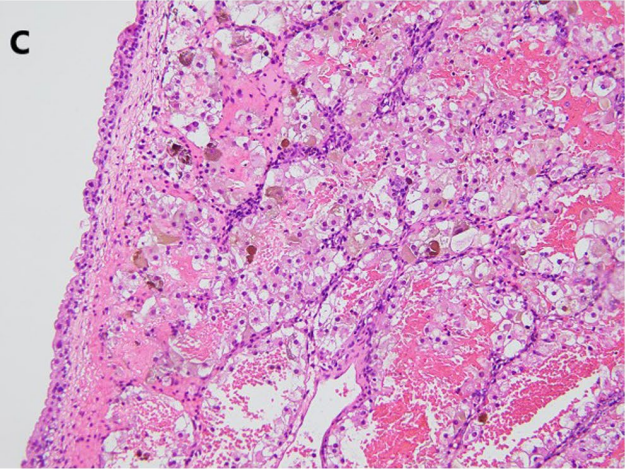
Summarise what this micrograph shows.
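Tumor of pale epithelioid cells arranged in nests outlined by a network of thin septa, bordered at one side by a thin capsule-like band of tissue. Pink-red pools of blood lie between and within the nests, and scattered cells contain brown material.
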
